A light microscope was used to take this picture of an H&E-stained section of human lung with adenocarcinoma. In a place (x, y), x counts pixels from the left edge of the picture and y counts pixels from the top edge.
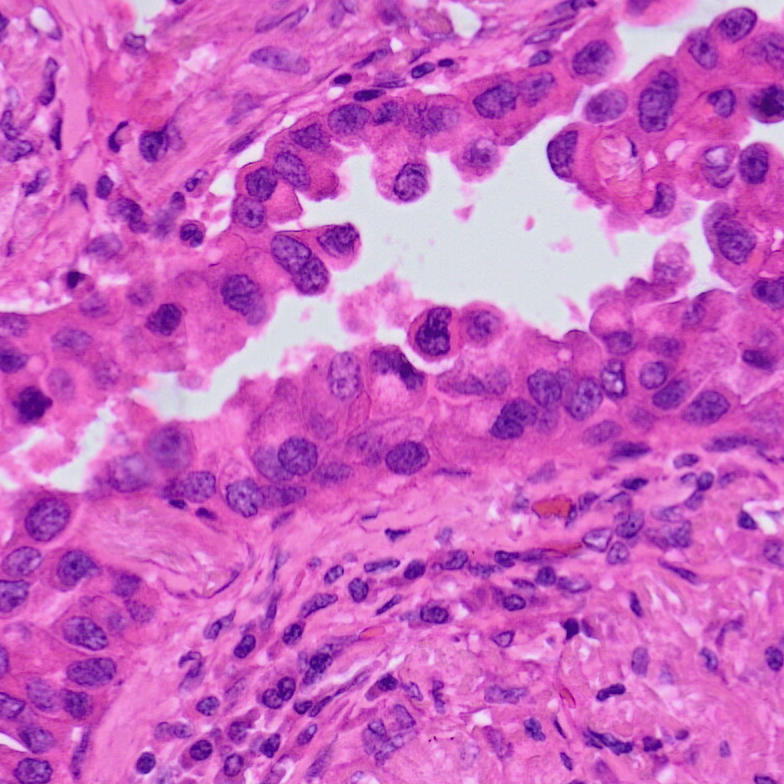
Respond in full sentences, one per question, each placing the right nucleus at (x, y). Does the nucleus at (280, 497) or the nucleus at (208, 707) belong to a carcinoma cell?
The nucleus lying at (280, 497) is the nucleus of a carcinoma cell.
